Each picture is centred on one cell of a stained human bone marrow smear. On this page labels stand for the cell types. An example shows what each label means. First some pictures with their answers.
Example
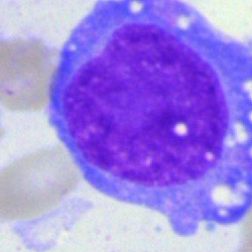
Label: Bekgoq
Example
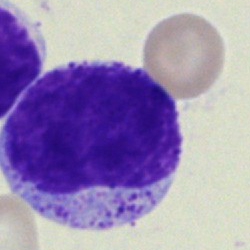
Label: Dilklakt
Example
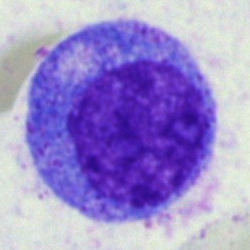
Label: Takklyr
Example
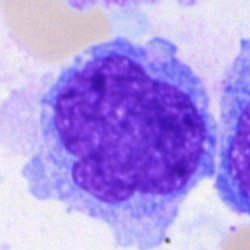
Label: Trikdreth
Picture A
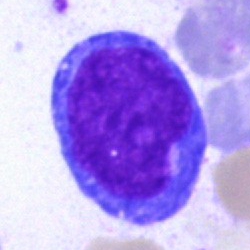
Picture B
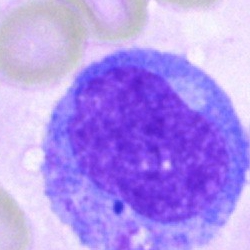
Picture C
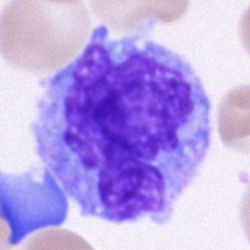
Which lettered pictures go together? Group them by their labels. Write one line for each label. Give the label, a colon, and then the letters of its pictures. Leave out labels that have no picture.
Bekgoq: A
Takklyr: B
Trikdreth: C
